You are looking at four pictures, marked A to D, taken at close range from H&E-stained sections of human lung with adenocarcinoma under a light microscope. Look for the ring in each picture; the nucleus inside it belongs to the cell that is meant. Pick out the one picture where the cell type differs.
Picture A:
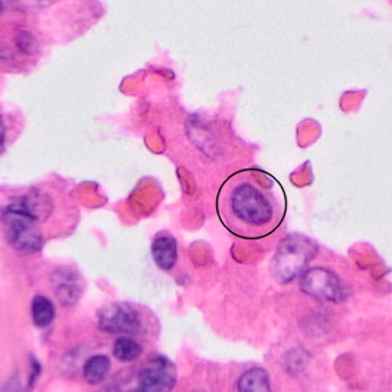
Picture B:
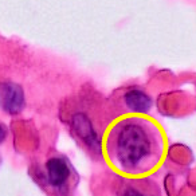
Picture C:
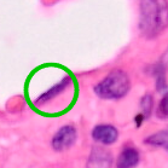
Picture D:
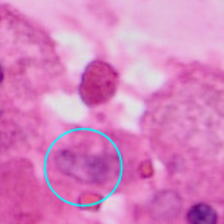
C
